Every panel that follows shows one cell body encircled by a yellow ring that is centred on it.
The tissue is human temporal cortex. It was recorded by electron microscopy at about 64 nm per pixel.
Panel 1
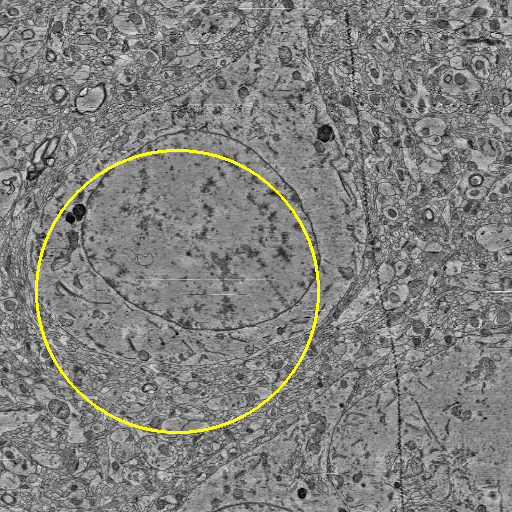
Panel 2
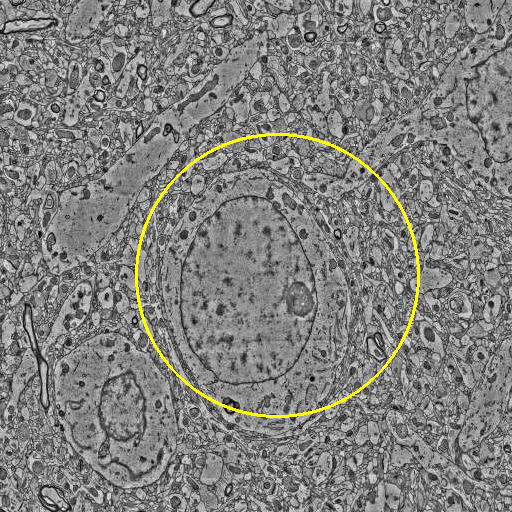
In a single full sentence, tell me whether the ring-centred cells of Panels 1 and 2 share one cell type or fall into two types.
In Panel 1 and Panel 2, the cells at the ring centres share one cell type.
